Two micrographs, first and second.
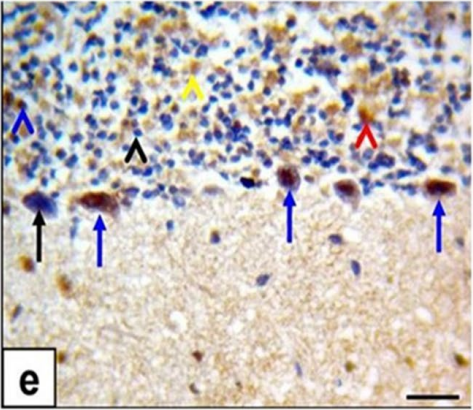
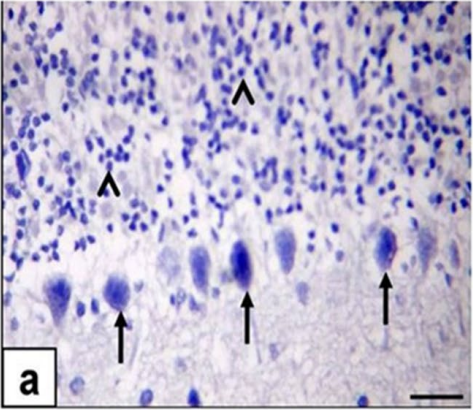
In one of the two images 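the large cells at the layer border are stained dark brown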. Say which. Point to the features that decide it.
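The first image. First image: several large cell bodies at the border of the dense layer are solid dark brown. Second image: the large cell bodies are blue with no brown.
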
